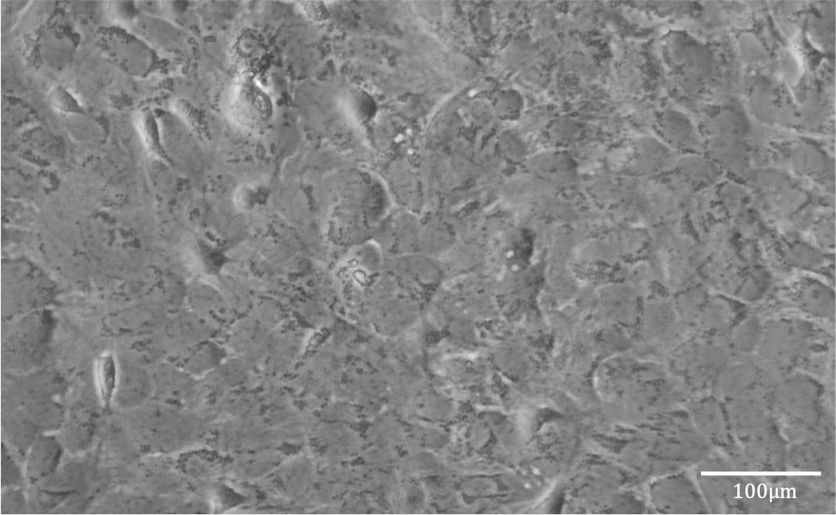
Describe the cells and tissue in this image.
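The cells are flat and broadly spread, and their borders touch and overlap, so outlines of single cells are only partly traceable. Oval nuclei can be seen within the cell bodies, surrounded by granular, finely speckled cytoplasm. A few cells stand out as brighter, more rounded or elongated bodies with light halos at their edges.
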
